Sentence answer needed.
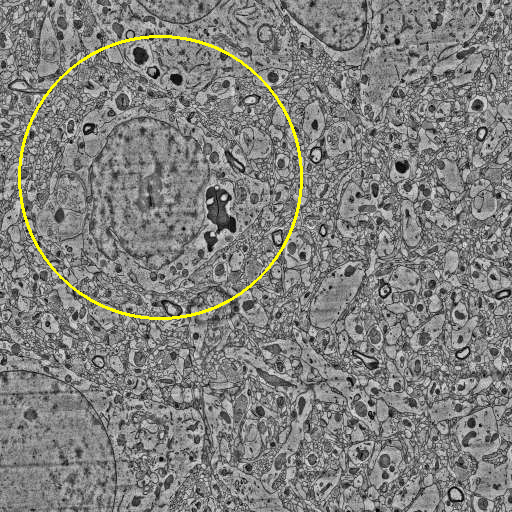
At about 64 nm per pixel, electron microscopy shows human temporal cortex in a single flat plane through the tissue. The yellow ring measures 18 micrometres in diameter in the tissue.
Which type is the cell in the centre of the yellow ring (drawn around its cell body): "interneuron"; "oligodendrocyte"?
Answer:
In the centre of the yellow ring is an interneuron.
